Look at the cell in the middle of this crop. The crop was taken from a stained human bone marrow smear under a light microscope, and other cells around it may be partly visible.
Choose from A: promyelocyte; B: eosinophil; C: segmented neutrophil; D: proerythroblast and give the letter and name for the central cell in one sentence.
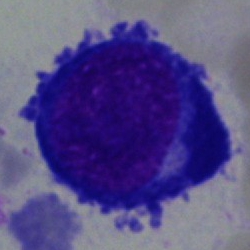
Option D is right in identifying the central cell as a proerythroblast.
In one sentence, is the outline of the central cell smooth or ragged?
Irregular and not smooth, the cell boundary is ragged or drawn out into projections.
